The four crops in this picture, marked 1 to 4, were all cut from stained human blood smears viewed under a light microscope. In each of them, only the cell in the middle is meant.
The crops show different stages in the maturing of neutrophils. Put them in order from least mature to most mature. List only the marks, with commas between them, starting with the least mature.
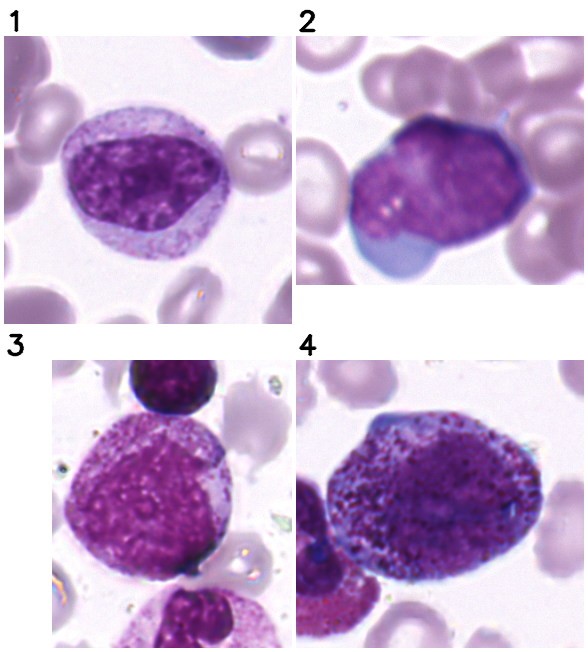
2, 4, 3, 1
